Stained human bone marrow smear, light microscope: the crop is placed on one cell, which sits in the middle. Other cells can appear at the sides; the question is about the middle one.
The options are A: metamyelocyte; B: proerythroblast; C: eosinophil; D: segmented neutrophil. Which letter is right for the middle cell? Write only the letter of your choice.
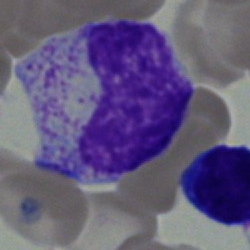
A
